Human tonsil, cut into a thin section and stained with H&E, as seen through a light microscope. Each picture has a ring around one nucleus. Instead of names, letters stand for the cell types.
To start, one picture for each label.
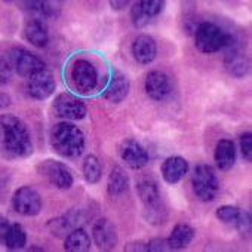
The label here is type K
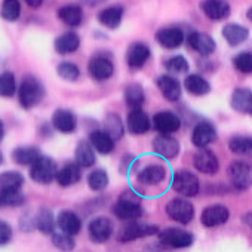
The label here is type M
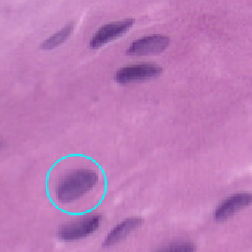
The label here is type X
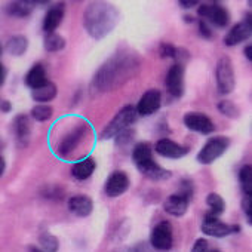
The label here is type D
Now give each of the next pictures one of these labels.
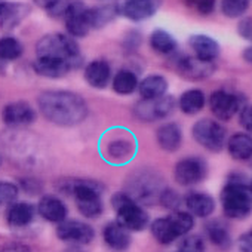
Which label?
type D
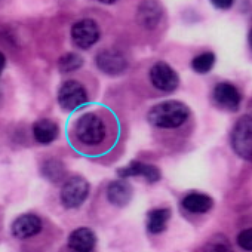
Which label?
type K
